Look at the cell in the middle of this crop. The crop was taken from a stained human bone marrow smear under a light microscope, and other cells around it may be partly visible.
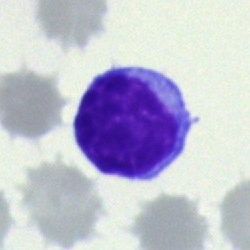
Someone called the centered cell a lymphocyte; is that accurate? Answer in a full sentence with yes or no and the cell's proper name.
Yes, the cell at the heart of the crop is a lymphocyte.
